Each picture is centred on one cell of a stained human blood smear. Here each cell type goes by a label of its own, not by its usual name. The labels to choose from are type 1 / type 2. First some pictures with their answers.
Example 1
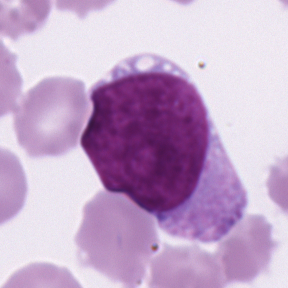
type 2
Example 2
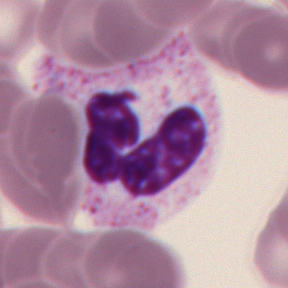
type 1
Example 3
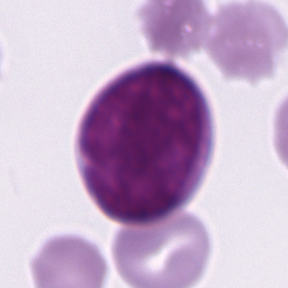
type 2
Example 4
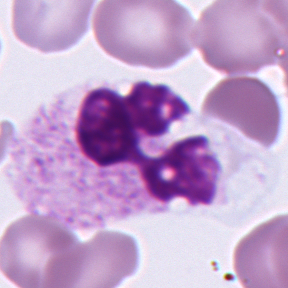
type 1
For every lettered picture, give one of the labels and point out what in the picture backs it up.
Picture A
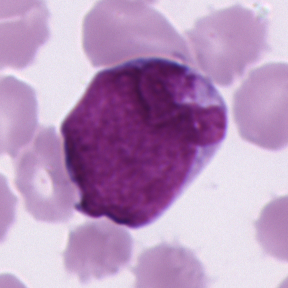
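Label: type 2. The cytoplasm forms only a thin rim, seen mainly along the right side of the cell.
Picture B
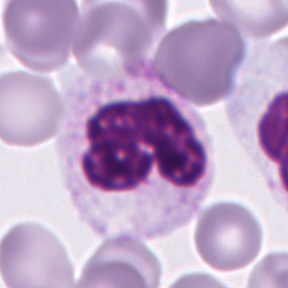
Label: type 1. The nucleus has two broad lobes joined across the top, with a notch opening downward between them.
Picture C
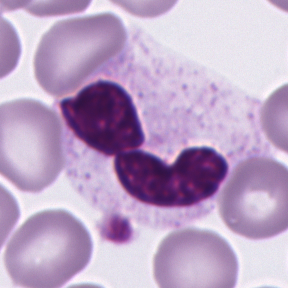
Label: type 1. The nucleus is made of two separate-looking lobes.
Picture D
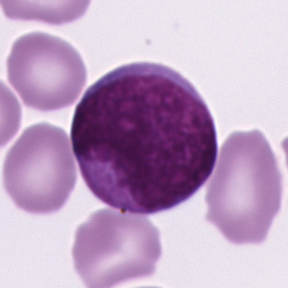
Label: type 2. The cytoplasm is only a thin rim, widest at the lower left.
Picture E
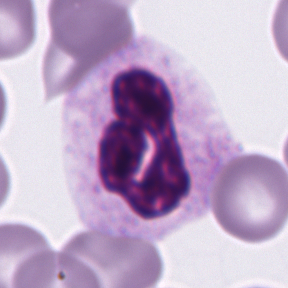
Label: type 1. The cytoplasm is plentiful and pale pinkish-lilac.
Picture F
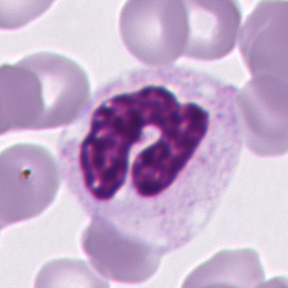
Label: type 1. The nucleus is bent into a horseshoe shape whose opening faces downward.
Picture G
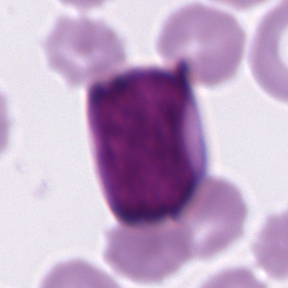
Label: type 2. The nucleus is a single unlobed mass that fills almost the whole cell.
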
